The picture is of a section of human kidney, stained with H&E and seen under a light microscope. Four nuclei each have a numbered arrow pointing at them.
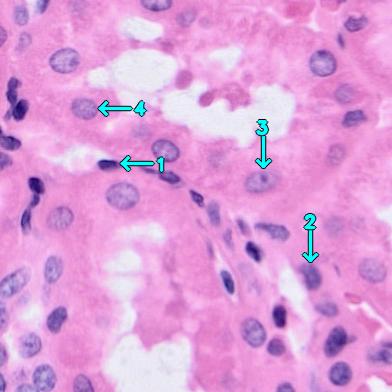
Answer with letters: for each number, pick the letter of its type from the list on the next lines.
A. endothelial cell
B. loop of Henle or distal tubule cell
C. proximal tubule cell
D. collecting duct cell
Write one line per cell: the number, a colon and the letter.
1: A
2: D
3: C
4: C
